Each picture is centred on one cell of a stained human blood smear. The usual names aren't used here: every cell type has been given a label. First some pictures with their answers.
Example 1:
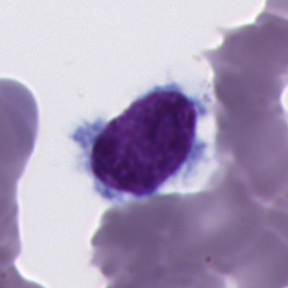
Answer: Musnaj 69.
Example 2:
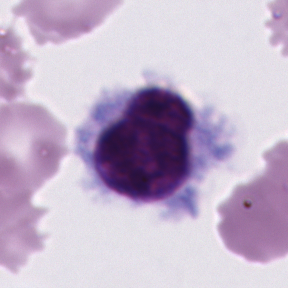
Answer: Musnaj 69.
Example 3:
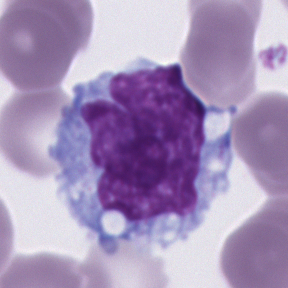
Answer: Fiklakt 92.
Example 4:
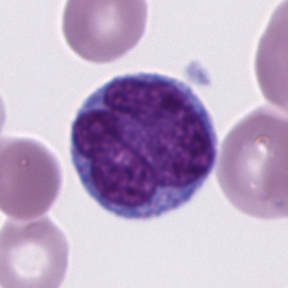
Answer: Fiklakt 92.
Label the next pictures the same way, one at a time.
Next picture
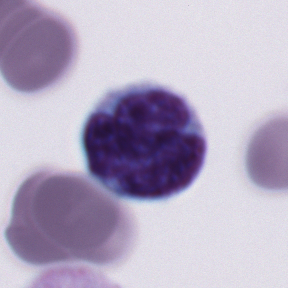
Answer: Fiklakt 92.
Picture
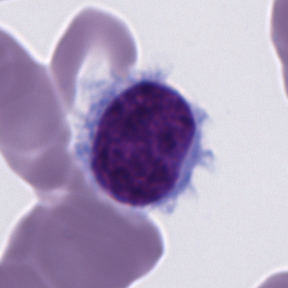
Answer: Musnaj 69.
